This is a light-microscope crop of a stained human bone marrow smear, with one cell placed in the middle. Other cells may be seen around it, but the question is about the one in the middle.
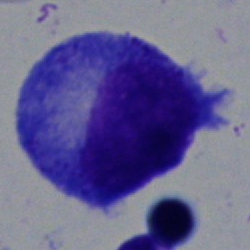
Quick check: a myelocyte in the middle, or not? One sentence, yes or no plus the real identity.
No, the middle of this crop is occupied by a promyelocyte rather than a myelocyte.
